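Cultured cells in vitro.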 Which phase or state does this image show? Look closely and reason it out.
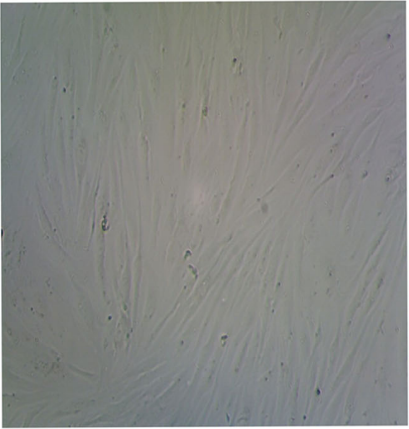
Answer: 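Spindle-like morphologies. Elongated, tapering cells lie densely side by side. The cells are aligned in parallel, streaming arrays.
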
